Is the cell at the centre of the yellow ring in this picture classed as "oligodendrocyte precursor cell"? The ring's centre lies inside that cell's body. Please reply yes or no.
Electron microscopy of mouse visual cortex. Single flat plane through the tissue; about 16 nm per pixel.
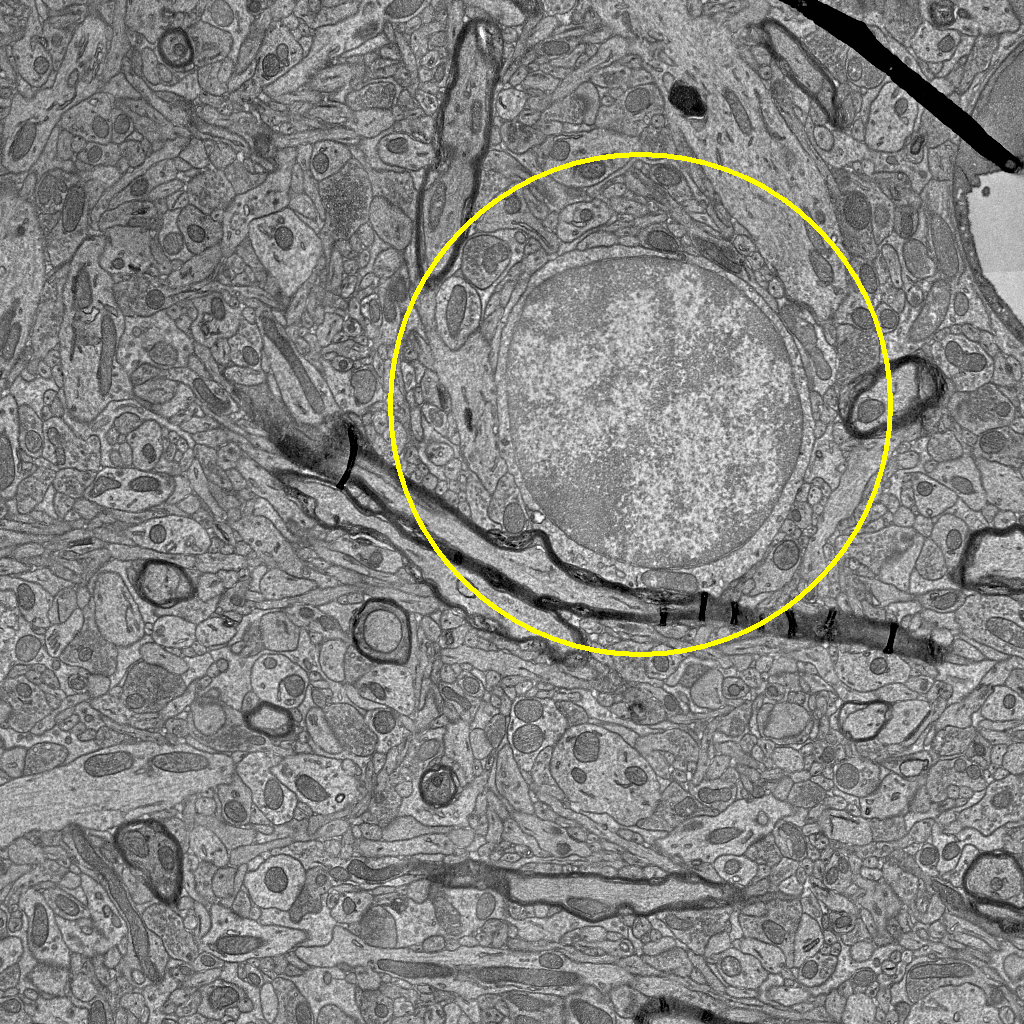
No, it is of another kind.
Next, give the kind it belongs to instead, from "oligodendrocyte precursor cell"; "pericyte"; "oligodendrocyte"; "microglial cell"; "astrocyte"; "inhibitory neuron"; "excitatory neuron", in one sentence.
The ring holds an oligodendrocyte at its centre.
